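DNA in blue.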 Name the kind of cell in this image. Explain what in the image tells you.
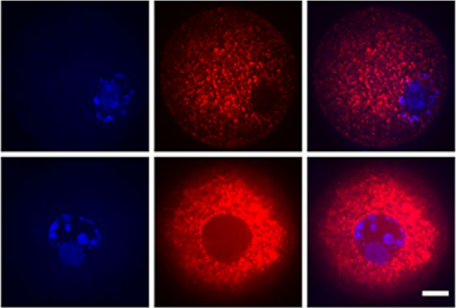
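Oocyte. Each image shows a single very large round cell. A large round nucleus with patchy blue chromatin sits in the cell. The red cytoplasm fills a round cell body.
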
